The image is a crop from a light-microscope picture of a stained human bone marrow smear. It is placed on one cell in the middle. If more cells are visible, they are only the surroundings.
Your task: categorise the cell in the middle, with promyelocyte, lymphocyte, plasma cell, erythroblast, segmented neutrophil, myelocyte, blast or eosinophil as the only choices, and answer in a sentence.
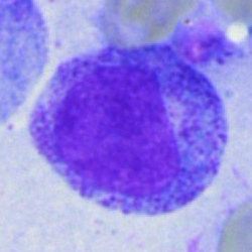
This particular crop is centered on a promyelocyte.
